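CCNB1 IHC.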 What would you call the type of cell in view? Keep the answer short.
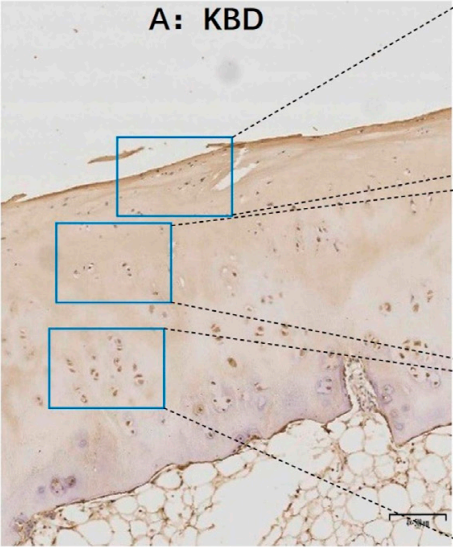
Chondrocytes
